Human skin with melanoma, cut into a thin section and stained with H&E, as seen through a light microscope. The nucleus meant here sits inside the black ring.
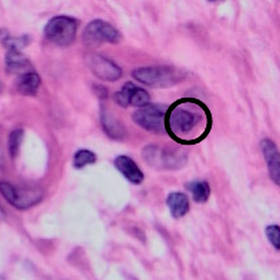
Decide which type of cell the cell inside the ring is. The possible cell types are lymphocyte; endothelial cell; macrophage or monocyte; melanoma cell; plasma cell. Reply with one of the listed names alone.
endothelial cell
